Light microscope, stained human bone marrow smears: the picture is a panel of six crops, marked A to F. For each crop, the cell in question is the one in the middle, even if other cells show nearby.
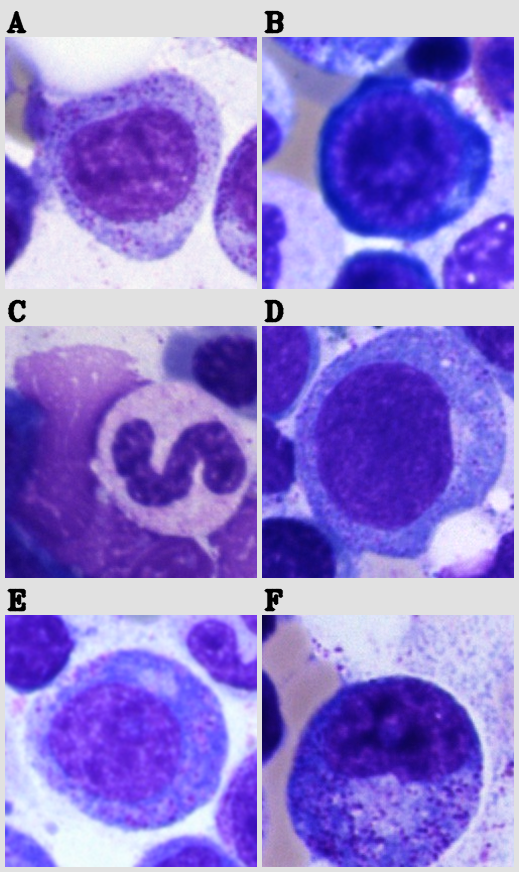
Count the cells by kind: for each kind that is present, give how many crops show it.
promyelocyte: 4
proerythroblast: 1
band neutrophil: 1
